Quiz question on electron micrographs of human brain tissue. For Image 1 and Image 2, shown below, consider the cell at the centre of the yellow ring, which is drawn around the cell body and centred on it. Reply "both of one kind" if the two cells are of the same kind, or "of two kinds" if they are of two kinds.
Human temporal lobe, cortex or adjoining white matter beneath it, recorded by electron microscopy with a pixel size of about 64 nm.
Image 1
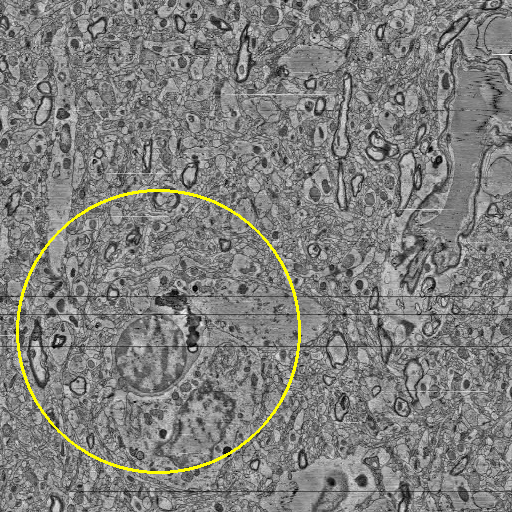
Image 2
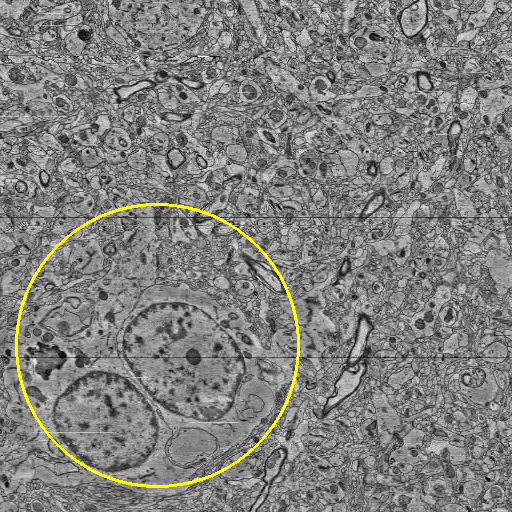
of two kinds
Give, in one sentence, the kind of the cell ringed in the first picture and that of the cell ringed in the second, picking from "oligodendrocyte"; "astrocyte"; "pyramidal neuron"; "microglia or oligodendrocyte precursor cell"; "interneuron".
For the first picture it is an oligodendrocyte; for the second, an astrocyte.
